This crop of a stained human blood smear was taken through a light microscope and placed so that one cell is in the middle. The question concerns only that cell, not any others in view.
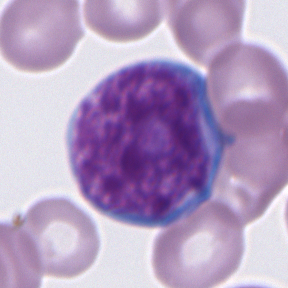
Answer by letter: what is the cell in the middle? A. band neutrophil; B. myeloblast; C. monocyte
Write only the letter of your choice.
B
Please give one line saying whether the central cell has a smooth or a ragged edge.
The perimeter of the cell is irregular, with ragged sections or outward projections.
